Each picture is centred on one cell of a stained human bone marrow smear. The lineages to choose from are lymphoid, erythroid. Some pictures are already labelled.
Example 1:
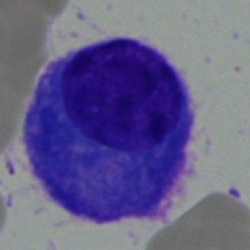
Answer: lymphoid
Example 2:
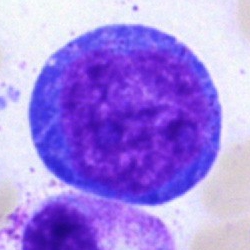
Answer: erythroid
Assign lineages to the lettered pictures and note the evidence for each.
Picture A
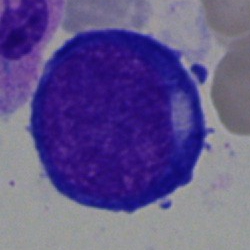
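erythroid: The chromatin is finely stippled rather than coarsely clumped.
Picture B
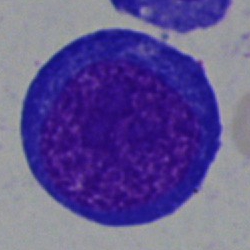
erythroid: The chromatin is finely stippled rather than coarsely clumped.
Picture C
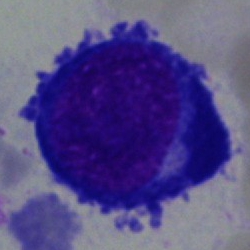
erythroid: The chromatin appears finely stippled rather than gathered into coarse dark clumps.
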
